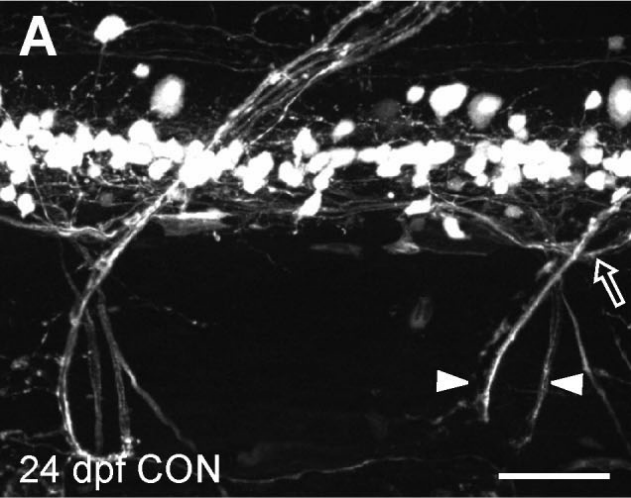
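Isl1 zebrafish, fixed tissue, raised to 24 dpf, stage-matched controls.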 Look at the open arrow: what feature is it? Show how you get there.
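The open arrow points at a point where one axon bundle turns sharply into another. The bend forms an angular, tick-mark shape at the right edge. On this evidence: “check”-like patterns.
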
